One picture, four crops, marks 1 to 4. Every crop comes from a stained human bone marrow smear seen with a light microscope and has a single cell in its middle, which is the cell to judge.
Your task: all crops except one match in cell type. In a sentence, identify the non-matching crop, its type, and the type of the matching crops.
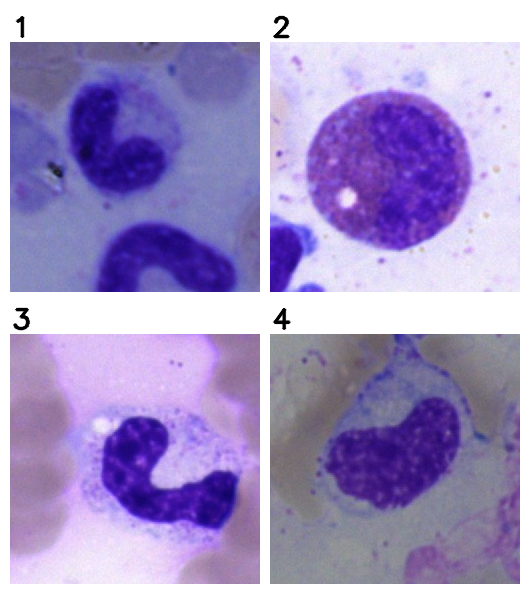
Apart from crop 2, an eosinophil, the crops all show band neutrophils.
